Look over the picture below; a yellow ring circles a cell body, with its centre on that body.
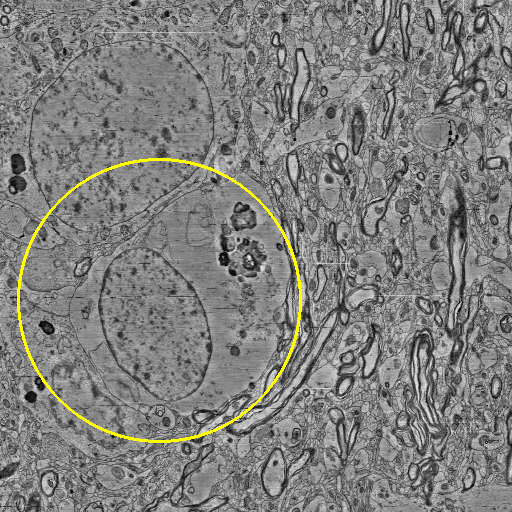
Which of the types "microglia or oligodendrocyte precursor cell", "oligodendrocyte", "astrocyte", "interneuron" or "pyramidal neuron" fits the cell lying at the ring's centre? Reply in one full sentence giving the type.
The picture shows an astrocyte at the centre of the yellow ring.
